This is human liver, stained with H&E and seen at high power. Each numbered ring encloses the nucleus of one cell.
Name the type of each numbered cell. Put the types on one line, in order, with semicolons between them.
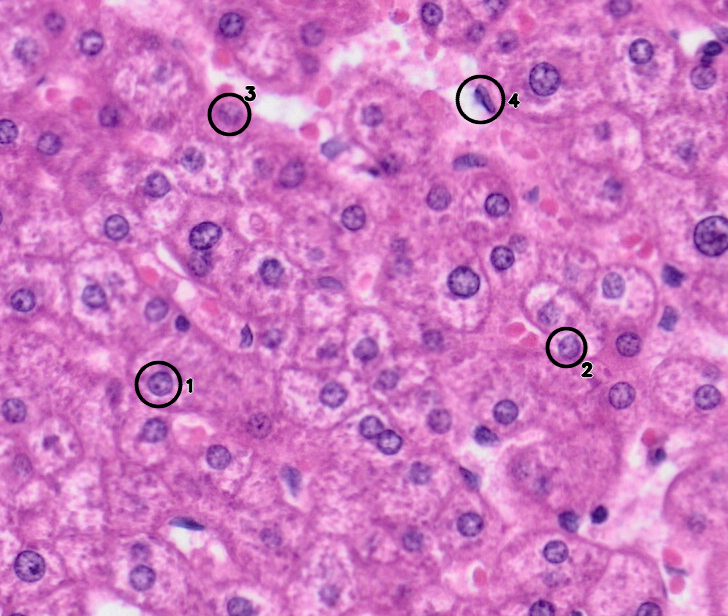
hepatocyte; hepatocyte; hepatocyte; endothelial cell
